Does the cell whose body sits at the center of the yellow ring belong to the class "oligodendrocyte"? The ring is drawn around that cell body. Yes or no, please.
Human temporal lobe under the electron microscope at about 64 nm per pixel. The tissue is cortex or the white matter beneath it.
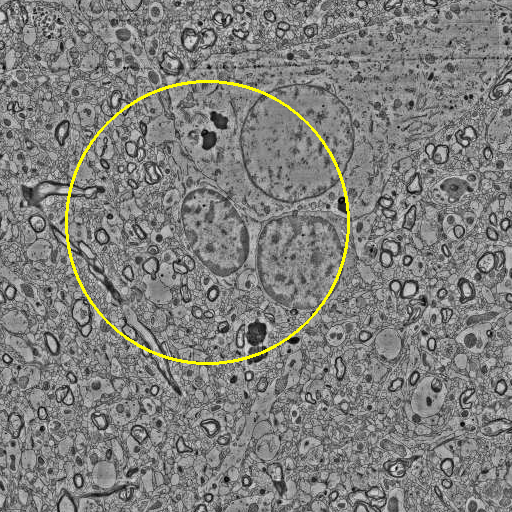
No, it belongs to another class.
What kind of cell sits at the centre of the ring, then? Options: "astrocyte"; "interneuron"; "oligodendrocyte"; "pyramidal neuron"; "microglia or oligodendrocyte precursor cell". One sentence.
Instead, the cell at the centre of the ring is a microglial cell or oligodendrocyte precursor cell.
